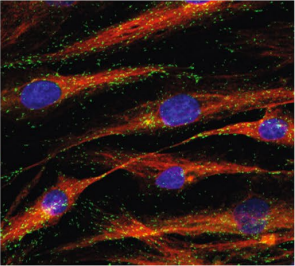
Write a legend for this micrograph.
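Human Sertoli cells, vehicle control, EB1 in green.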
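Spindle-shaped cultured cells with oval blue nuclei are filled with red filaments running along their length, and short green dashes and dots are scattered through the cytoplasm over the red network. The green dots gather in places near the nuclei and also trail out along the cell extensions.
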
